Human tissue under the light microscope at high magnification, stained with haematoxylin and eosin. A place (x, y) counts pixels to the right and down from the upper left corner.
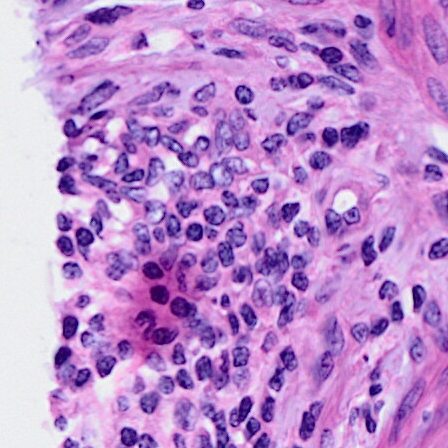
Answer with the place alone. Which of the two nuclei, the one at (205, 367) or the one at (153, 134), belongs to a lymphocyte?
(205, 367)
